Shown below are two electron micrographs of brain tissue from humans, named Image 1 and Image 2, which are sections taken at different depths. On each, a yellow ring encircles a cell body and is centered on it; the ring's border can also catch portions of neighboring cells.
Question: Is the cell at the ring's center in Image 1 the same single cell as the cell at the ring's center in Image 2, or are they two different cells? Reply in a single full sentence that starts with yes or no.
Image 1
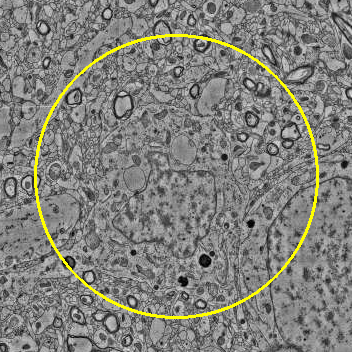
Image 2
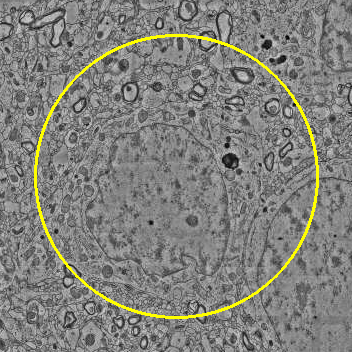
Yes, the same cell has been marked in both yellow rings.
